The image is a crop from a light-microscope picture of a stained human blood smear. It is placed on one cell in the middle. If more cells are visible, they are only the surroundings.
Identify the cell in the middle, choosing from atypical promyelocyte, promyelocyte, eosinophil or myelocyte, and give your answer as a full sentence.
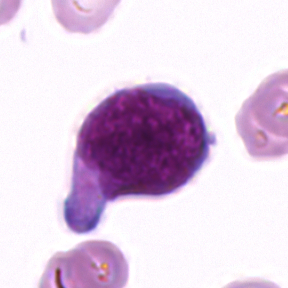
The center cell of this crop is an atypical promyelocyte.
